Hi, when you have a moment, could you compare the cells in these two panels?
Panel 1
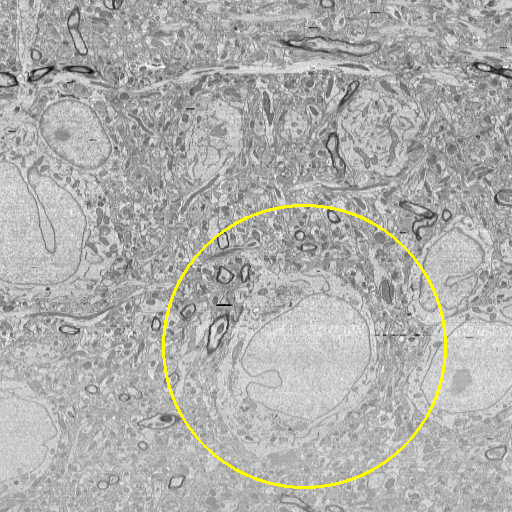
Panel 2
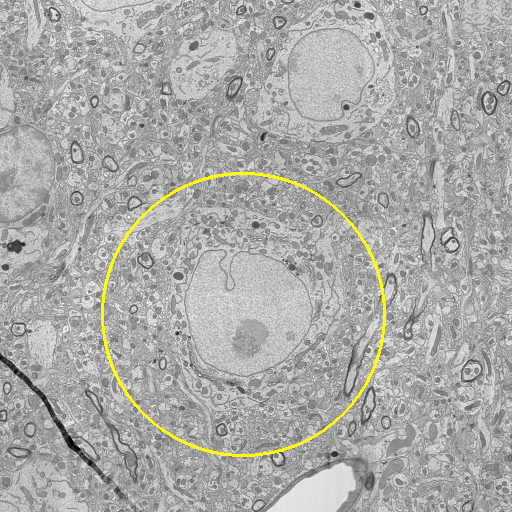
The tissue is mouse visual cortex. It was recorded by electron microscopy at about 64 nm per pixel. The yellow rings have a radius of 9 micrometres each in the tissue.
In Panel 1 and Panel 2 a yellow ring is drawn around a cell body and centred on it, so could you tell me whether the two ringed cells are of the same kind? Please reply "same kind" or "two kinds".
two kinds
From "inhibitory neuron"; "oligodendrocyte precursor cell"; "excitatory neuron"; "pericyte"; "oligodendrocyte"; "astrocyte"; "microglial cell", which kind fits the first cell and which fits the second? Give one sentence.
The cell marked in the first picture is an excitatory neuron, and the one marked in the second is an inhibitory neuron.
